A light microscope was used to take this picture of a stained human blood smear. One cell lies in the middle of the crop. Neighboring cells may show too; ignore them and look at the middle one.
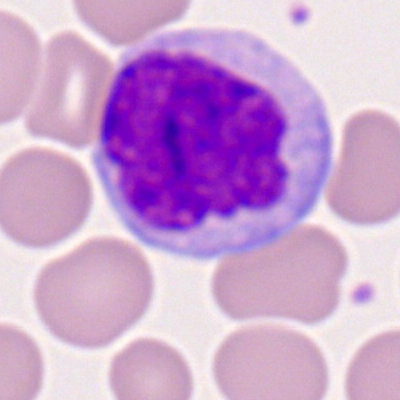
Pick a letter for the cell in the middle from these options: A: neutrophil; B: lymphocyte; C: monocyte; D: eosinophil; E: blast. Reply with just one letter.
C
